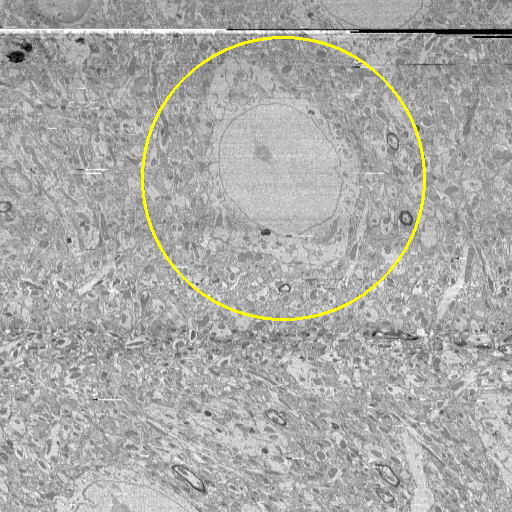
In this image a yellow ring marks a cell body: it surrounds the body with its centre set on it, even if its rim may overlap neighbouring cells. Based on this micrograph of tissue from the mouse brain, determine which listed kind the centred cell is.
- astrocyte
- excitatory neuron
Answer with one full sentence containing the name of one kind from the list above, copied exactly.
It is an excitatory neuron whose body the yellow ring encloses at its centre.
